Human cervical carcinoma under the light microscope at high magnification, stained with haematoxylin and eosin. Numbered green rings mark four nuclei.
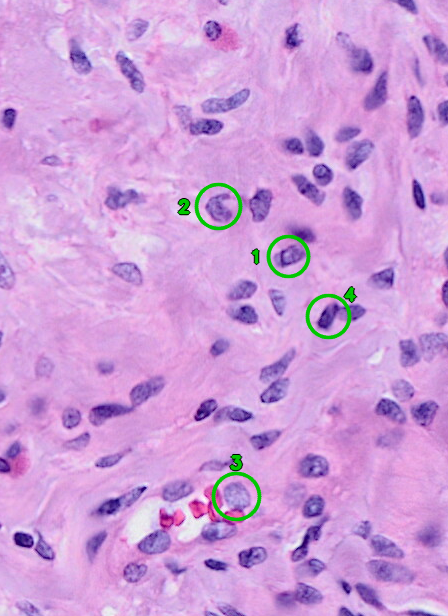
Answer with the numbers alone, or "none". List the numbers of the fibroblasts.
1, 2, 4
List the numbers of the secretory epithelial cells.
none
